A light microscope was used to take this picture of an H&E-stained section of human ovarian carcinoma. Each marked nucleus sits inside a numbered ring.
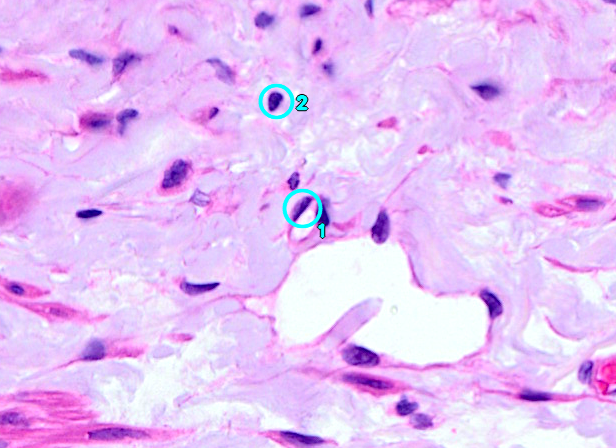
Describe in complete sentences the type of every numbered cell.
Cell 1 is an endothelial cell and cell 2 is a lymphocyte.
